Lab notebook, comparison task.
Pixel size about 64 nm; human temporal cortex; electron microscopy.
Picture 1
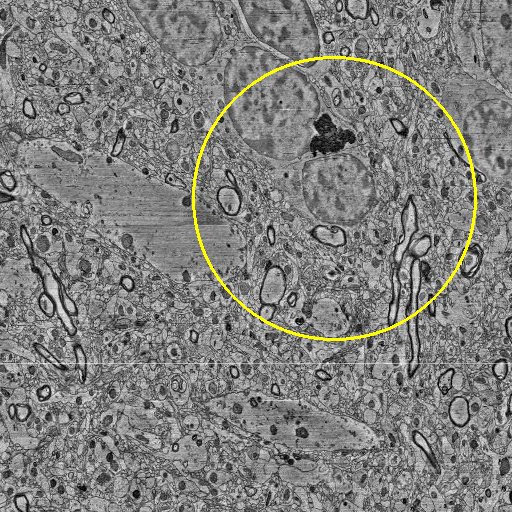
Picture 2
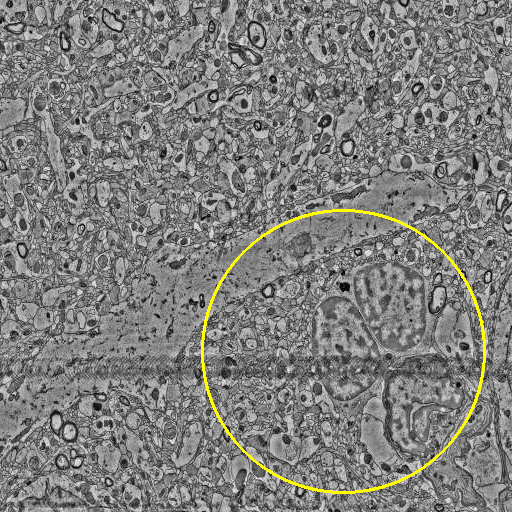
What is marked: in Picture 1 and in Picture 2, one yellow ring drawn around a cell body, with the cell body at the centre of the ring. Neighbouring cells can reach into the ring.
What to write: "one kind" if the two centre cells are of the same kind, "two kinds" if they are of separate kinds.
one kind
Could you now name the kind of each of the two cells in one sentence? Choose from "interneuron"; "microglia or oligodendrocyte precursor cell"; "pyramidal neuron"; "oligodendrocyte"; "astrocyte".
Both rings mark an oligodendrocyte, one in each picture.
